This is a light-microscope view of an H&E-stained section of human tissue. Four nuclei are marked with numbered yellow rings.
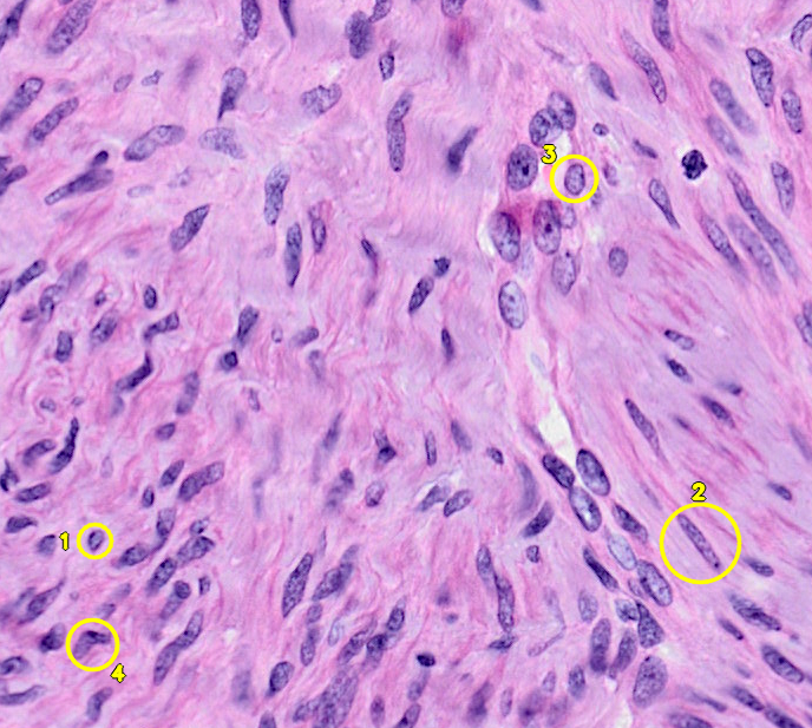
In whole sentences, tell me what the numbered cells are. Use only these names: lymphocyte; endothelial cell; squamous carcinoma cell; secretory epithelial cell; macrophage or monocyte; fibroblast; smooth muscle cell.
Cells 1, 2 and 4 are smooth muscle cells. Cell 3 is an endothelial cell.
